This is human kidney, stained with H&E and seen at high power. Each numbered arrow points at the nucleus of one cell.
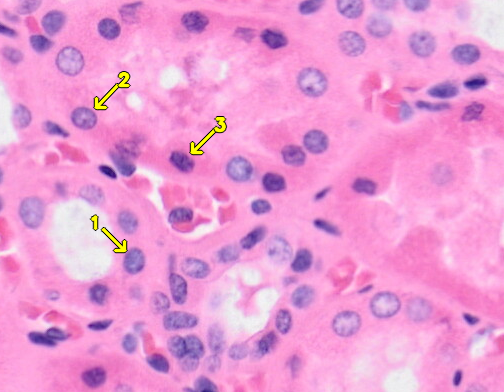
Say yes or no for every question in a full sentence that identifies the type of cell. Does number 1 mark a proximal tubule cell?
No, cell number 1 is identified as a loop of Henle or distal tubule cell, not as a proximal tubule cell.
